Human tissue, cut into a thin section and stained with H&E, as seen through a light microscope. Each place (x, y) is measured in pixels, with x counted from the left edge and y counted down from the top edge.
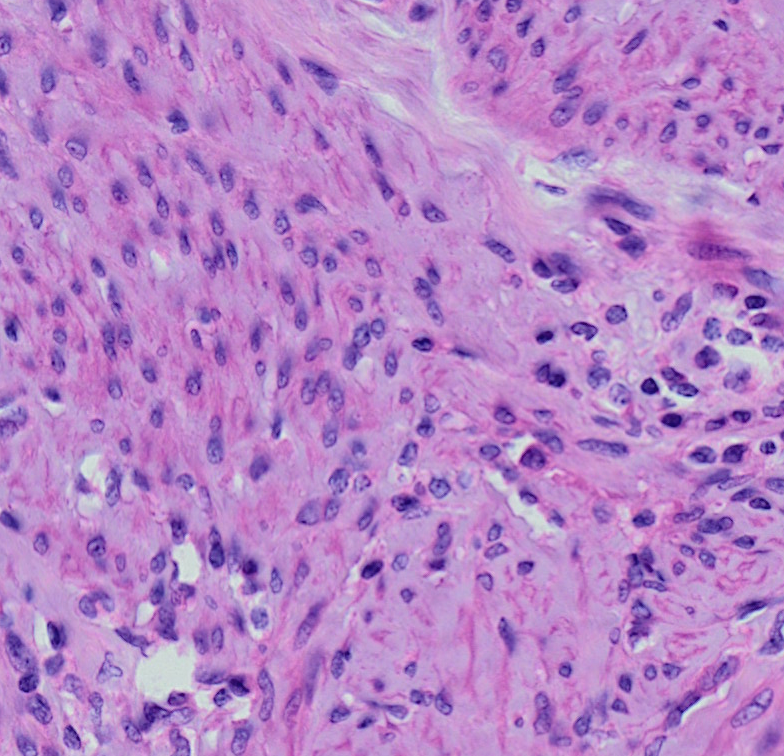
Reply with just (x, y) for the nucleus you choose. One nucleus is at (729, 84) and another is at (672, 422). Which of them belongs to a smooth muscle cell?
(729, 84)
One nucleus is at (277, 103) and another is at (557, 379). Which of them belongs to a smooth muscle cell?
(277, 103)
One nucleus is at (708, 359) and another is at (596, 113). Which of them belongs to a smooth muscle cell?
(596, 113)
